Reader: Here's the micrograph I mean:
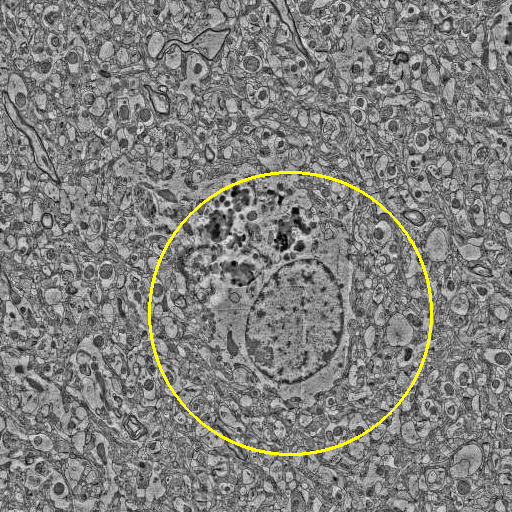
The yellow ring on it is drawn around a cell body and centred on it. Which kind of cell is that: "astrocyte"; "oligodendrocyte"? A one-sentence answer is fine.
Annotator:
The ring is centred on an astrocyte.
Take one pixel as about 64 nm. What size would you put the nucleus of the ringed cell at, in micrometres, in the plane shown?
In this plane the nucleus spans approximately 8 by 6 micrometers.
